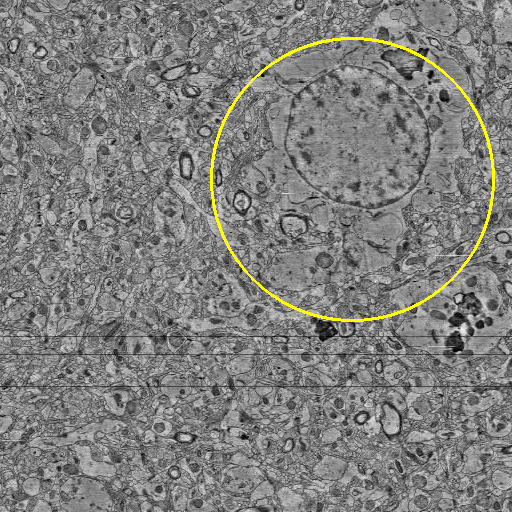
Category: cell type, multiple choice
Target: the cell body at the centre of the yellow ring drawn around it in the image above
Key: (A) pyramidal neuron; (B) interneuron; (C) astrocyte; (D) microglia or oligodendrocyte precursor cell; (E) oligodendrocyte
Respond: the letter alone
C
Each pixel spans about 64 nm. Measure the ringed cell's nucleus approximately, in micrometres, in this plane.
Roughly 9 micrometers across, in this plane.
